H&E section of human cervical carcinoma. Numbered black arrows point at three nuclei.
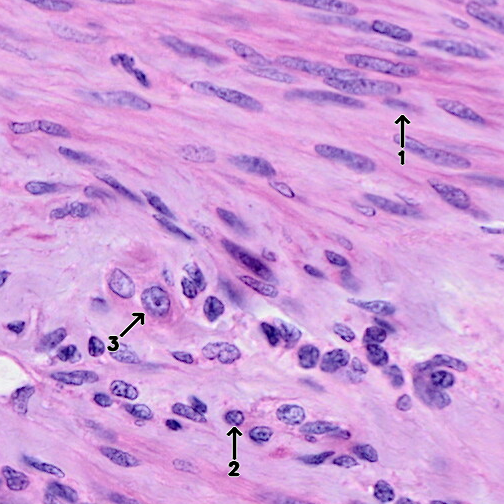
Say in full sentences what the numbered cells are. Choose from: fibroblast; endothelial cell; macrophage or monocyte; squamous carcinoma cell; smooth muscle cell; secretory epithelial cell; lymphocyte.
Cells 1 and 2 are smooth muscle cells. Cell 3 is an endothelial cell.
